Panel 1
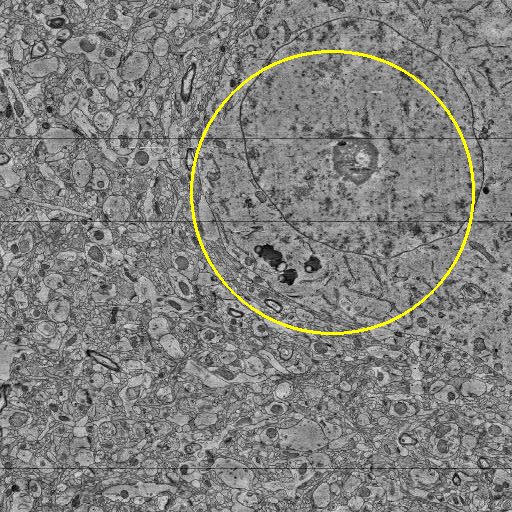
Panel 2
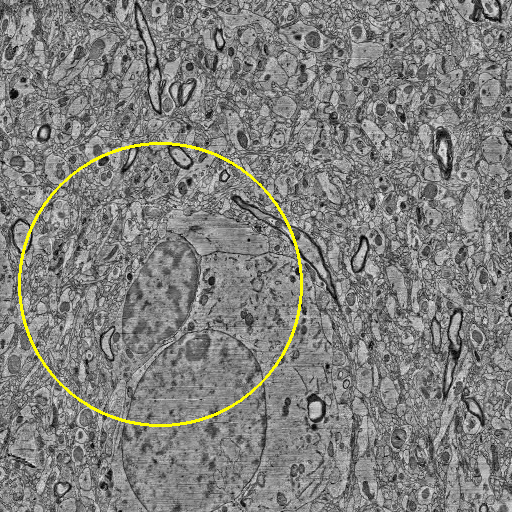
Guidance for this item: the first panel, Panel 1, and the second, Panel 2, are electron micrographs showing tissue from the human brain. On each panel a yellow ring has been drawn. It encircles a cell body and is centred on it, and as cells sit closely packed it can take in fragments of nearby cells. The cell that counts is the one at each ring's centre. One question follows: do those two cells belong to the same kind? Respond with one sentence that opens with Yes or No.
No, the cells at the ring centres in Panel 1 and Panel 2 are of two kinds.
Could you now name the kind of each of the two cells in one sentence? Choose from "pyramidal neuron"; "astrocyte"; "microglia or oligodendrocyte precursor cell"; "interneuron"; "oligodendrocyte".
The first ring encloses a pyramidal neuron; the second ring encloses an oligodendrocyte.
